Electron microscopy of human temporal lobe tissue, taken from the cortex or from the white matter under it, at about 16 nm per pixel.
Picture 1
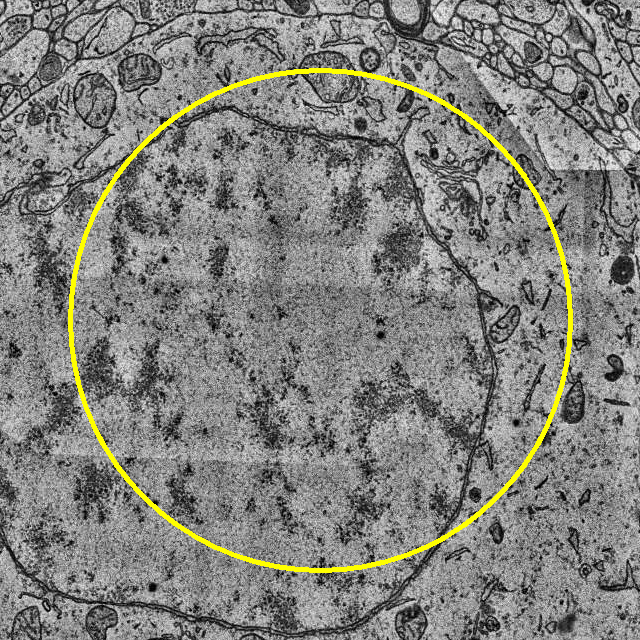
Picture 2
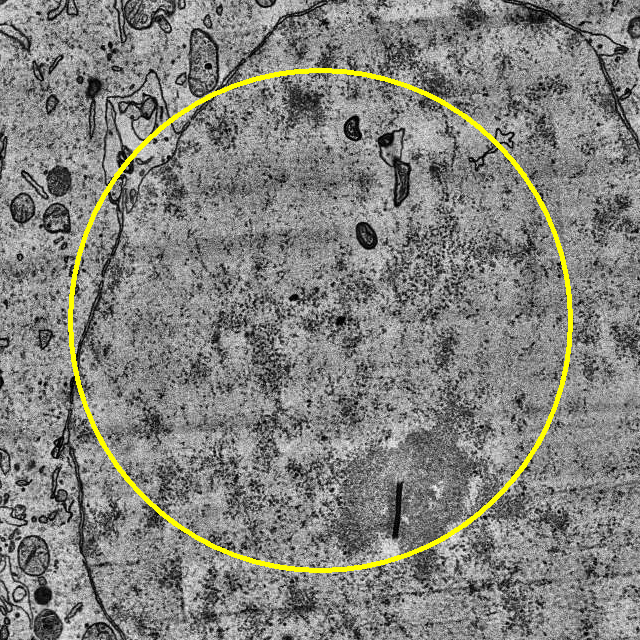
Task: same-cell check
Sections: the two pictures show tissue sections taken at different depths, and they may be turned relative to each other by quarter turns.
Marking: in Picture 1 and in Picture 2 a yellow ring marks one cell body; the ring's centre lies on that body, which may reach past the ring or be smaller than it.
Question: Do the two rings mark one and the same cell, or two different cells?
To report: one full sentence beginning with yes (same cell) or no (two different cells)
No, it is two different cells that the rings mark.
